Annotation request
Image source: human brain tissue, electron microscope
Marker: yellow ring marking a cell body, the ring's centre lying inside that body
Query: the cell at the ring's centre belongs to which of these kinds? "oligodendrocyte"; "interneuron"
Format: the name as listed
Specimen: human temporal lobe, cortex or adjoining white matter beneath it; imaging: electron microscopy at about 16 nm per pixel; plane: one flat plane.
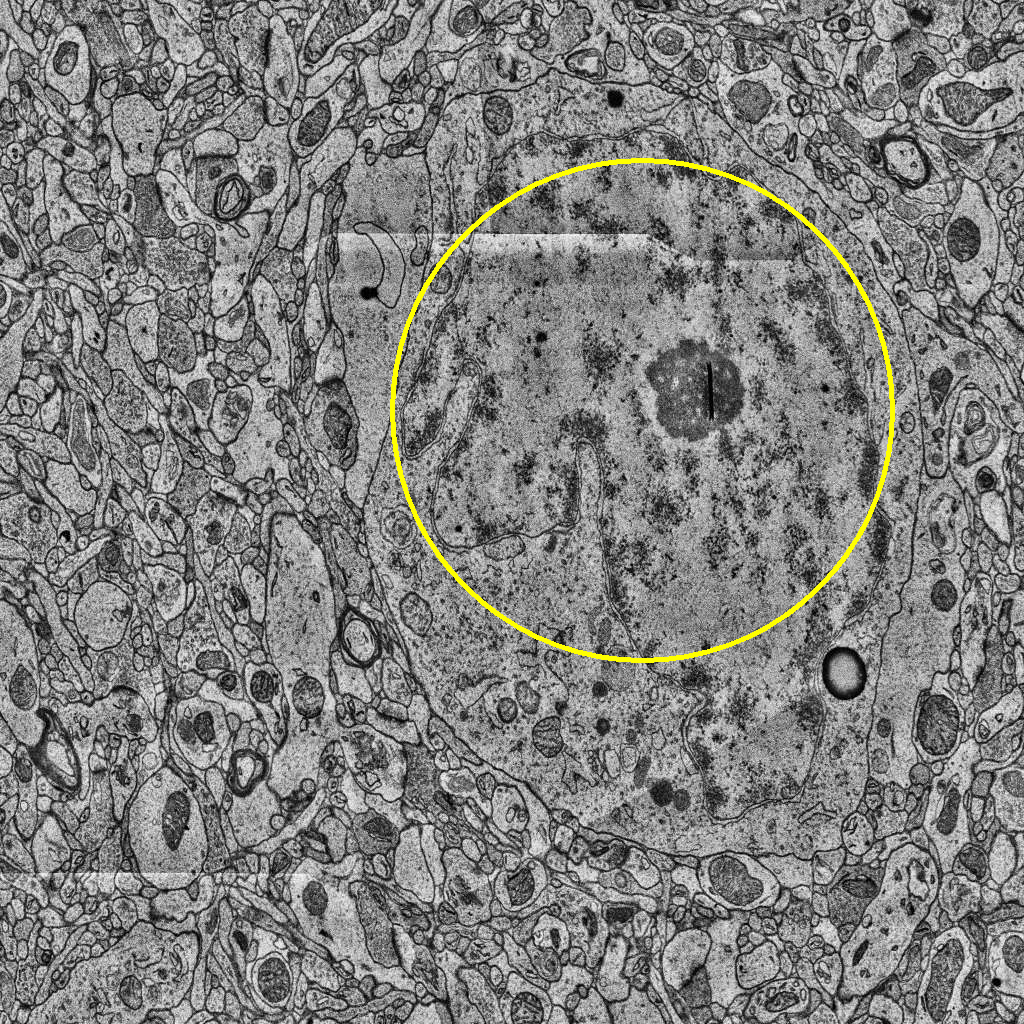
interneuron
